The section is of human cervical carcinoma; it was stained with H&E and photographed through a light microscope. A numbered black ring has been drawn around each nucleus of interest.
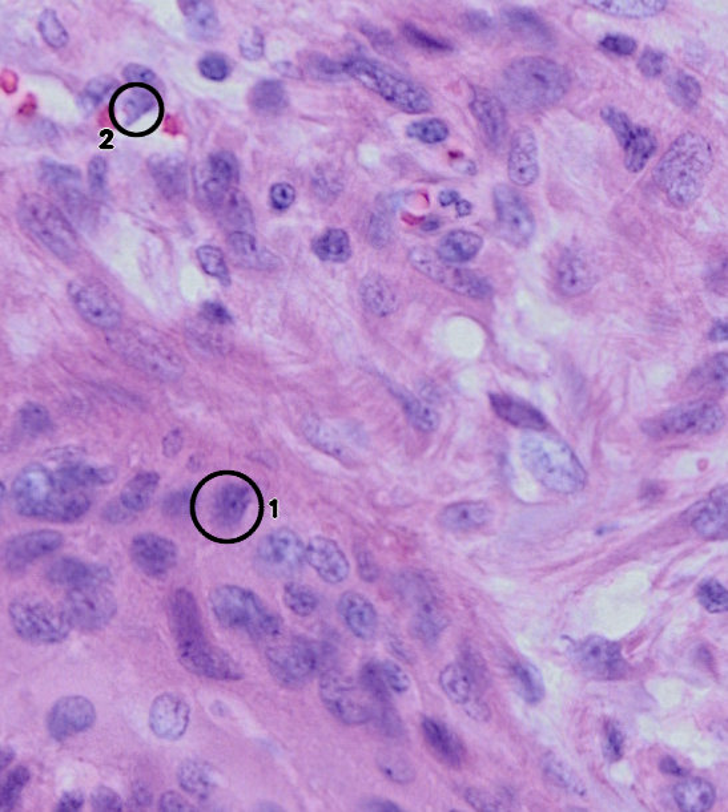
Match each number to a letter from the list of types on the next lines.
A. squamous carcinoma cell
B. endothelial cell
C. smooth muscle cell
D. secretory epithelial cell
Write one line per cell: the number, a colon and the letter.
1: A
2: B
